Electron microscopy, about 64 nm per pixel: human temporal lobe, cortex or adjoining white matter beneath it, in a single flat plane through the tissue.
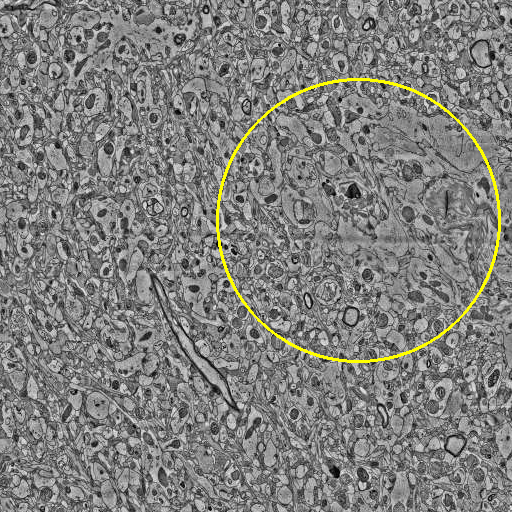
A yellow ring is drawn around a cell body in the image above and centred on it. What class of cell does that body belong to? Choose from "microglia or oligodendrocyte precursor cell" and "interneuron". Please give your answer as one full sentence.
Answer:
The yellow ring above is centred on the cell body of a microglial cell or oligodendrocyte precursor cell.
